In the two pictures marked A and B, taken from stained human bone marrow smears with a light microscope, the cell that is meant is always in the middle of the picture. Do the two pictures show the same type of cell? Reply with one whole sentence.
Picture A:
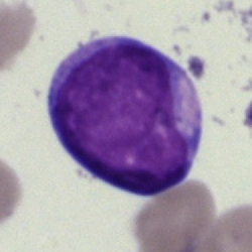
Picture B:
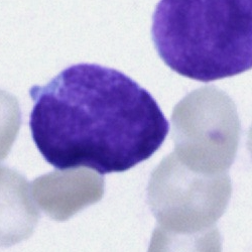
Yes, they are the same type: both are blasts.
